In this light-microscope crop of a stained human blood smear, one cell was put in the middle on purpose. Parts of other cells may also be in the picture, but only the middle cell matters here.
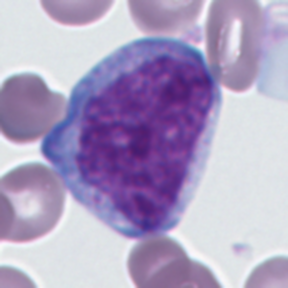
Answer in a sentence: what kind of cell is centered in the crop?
The cell centred in this crop is categorized as a promyelocyte.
